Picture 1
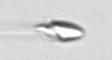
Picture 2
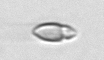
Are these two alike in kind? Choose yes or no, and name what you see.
Yes. Kapelodinium.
